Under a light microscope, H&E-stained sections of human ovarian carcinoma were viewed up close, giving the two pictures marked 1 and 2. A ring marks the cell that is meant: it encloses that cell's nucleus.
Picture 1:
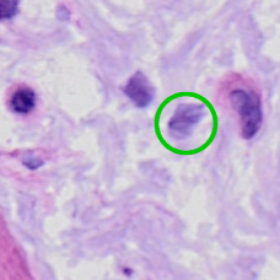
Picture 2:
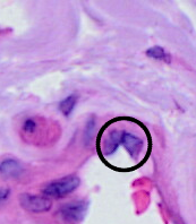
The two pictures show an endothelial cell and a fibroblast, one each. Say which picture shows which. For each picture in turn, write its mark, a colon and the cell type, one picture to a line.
1: fibroblast
2: endothelial cell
